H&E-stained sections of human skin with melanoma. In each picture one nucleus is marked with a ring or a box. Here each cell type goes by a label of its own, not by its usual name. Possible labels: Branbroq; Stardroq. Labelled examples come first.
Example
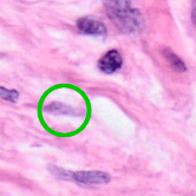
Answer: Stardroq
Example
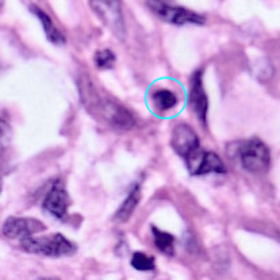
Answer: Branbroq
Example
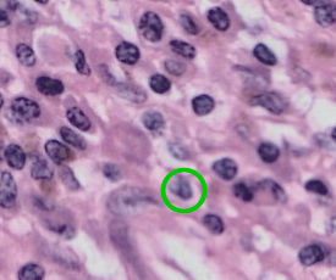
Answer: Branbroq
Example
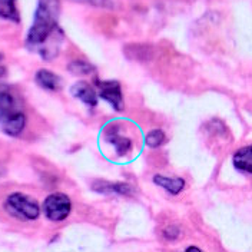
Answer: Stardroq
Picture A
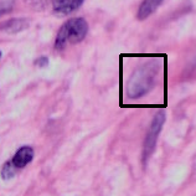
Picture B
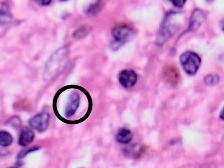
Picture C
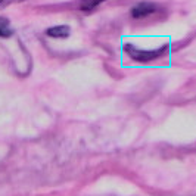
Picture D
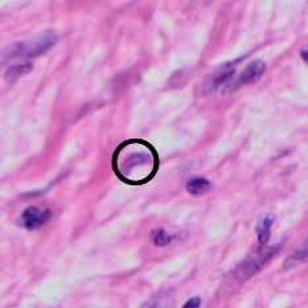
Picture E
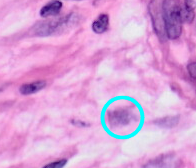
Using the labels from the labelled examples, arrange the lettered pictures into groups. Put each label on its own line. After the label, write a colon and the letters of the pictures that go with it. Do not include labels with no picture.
Branbroq: B
Stardroq: A, C, D, E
